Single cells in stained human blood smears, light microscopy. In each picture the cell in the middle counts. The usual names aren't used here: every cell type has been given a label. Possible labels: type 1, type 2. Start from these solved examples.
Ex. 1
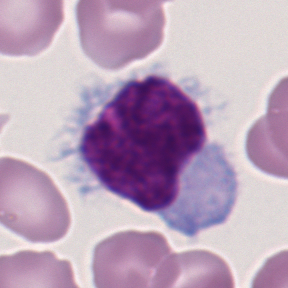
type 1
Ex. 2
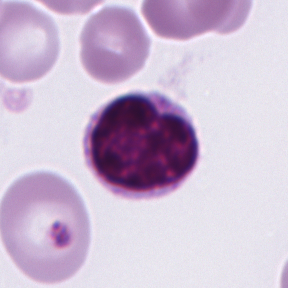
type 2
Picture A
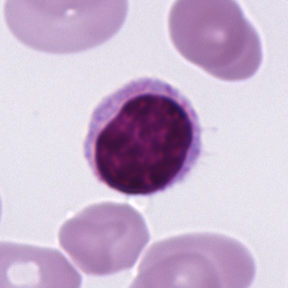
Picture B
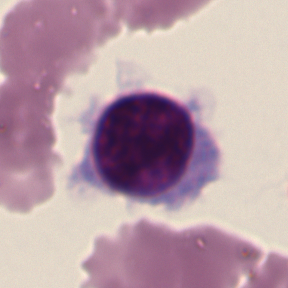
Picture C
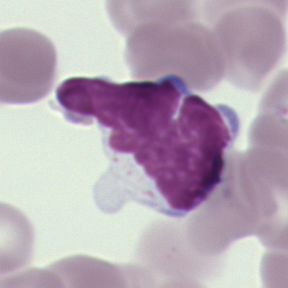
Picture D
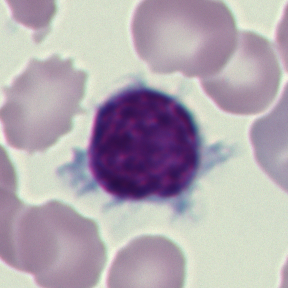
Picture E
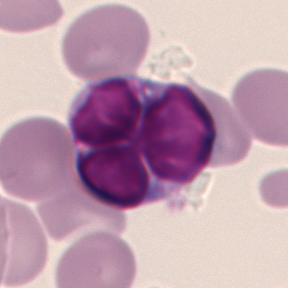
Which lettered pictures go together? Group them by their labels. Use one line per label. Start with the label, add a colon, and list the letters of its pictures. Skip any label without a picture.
type 1: B, D
type 2: A, C, E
